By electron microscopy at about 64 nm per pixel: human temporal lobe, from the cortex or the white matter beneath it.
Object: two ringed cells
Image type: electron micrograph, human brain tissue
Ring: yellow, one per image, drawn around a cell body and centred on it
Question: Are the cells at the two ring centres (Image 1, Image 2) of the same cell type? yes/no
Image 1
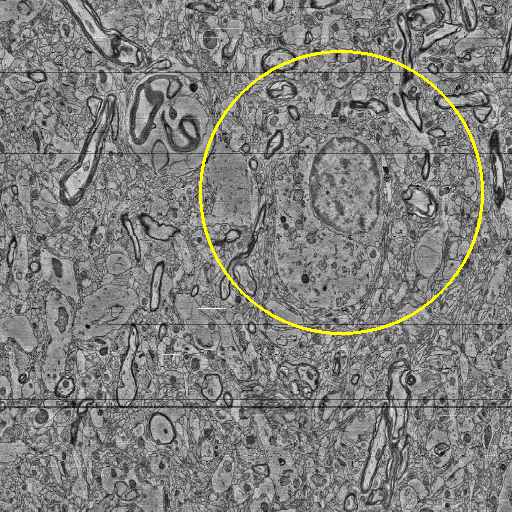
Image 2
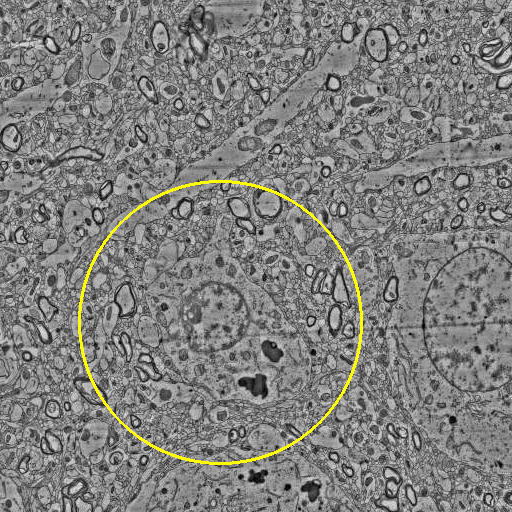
no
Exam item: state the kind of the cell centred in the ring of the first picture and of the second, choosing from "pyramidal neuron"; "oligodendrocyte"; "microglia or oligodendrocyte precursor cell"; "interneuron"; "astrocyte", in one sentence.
The first picture shows an oligodendrocyte at the ring centre and the second shows an interneuron.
